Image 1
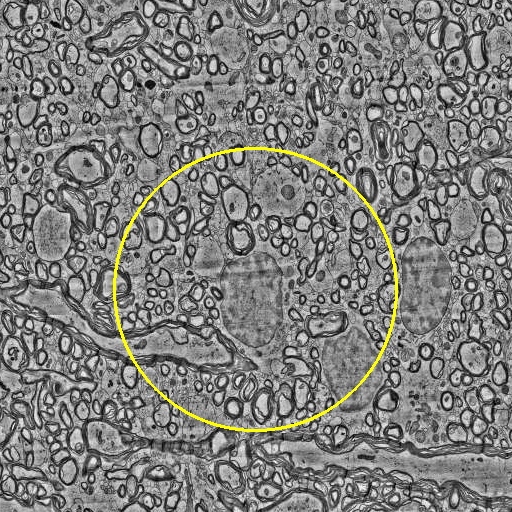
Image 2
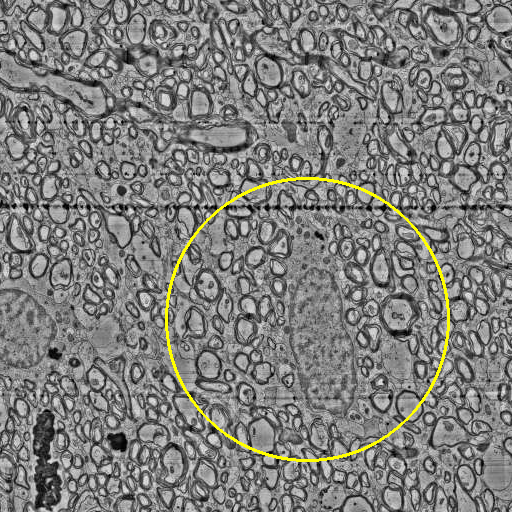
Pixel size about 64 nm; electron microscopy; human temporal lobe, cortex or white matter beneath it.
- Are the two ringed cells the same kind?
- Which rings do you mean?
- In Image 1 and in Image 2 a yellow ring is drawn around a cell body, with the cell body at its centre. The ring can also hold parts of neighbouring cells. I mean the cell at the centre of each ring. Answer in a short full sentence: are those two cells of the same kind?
Yes, both cells are of the same kind.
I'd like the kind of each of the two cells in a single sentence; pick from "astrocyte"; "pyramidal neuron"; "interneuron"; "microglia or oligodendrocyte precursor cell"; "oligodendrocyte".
Each of the two rings surrounds an oligodendrocyte.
